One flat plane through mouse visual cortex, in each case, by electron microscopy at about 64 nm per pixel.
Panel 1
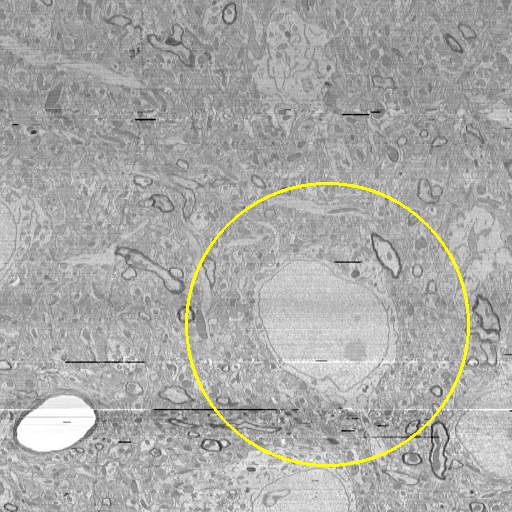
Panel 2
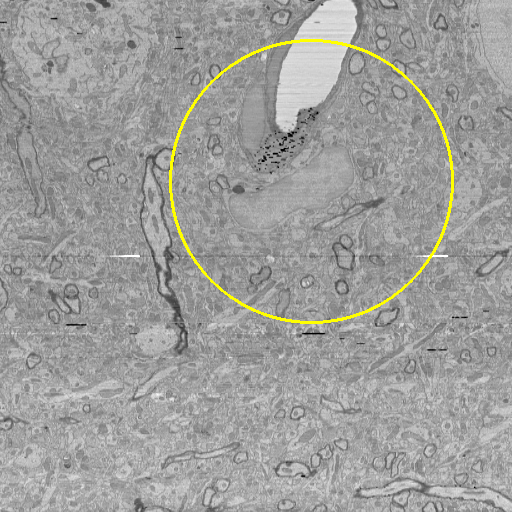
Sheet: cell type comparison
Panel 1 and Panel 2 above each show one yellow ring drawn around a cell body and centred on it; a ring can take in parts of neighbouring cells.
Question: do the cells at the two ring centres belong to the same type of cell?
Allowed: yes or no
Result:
no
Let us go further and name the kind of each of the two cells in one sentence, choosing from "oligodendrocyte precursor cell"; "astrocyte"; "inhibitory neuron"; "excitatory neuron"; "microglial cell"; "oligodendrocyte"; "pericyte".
The ring of the first picture is on an excitatory neuron, the ring of the second on a microglial cell.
